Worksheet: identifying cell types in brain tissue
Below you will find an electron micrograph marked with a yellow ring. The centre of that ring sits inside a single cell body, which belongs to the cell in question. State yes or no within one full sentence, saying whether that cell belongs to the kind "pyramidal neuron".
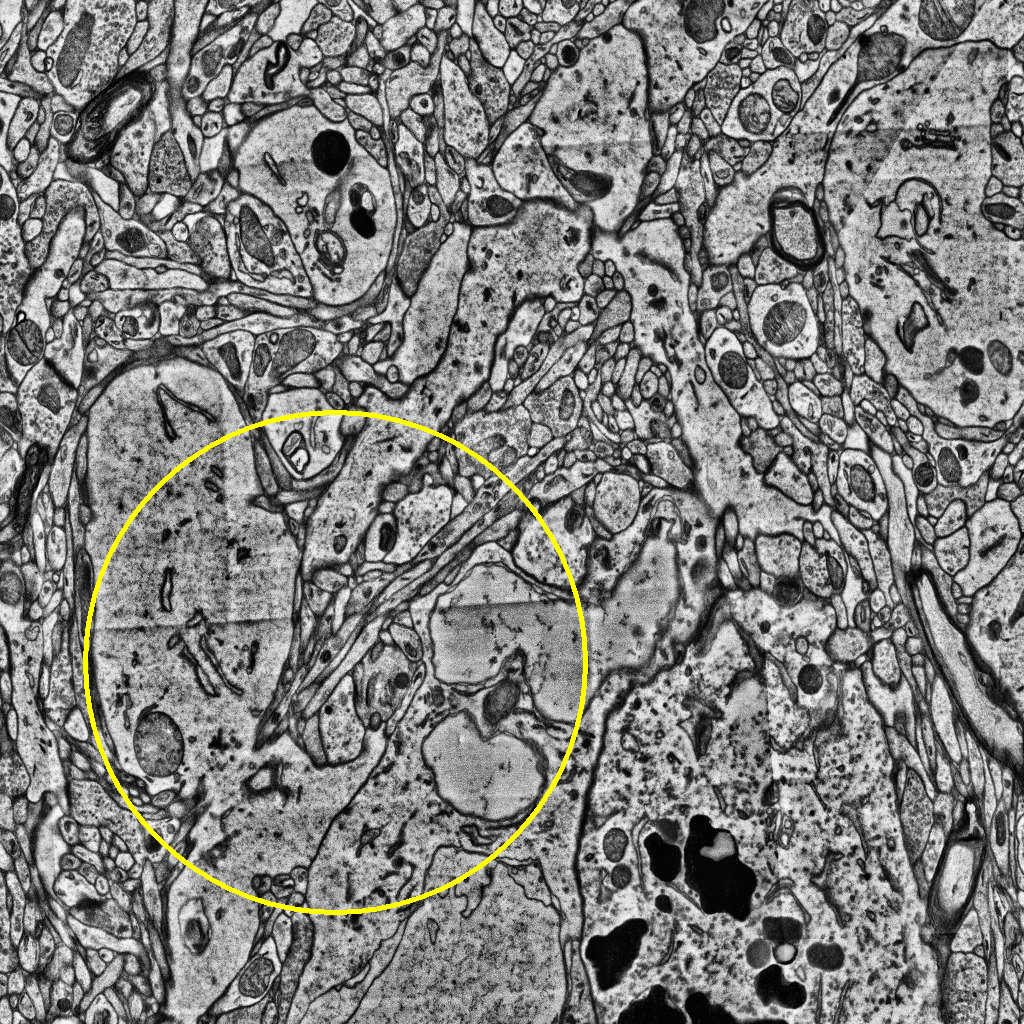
No, the cell whose body contains the centre of the yellow ring in this picture is of another kind.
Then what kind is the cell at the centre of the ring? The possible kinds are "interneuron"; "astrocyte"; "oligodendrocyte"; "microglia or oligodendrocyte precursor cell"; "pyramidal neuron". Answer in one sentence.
The ring holds an oligodendrocyte at its centre.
